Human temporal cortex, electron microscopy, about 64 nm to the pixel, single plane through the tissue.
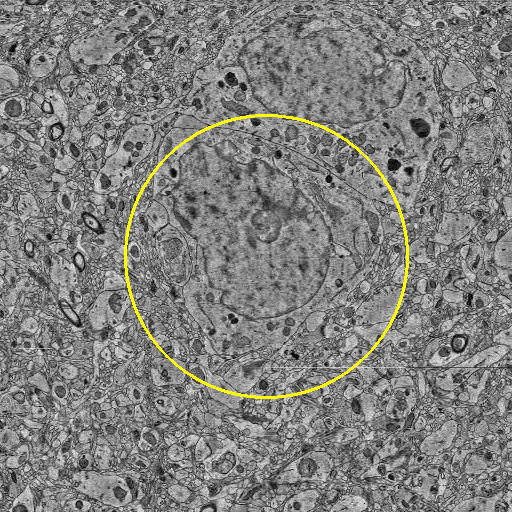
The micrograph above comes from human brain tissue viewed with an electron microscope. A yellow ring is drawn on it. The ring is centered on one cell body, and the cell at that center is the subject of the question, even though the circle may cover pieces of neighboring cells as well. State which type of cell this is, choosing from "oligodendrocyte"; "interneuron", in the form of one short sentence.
The cell the ring is centered on is an interneuron.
